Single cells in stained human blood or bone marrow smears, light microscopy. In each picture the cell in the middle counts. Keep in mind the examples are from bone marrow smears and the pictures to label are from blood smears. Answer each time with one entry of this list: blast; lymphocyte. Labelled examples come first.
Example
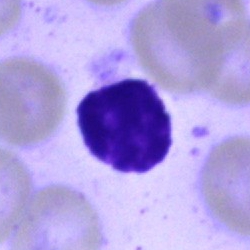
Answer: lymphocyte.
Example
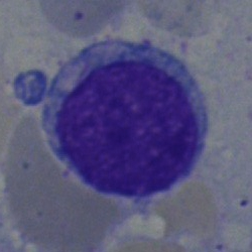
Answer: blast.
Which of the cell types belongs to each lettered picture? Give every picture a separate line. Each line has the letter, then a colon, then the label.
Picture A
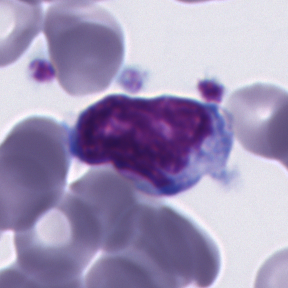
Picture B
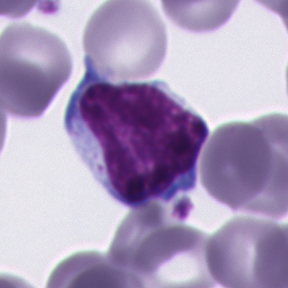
A: lymphocyte.
B: lymphocyte.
